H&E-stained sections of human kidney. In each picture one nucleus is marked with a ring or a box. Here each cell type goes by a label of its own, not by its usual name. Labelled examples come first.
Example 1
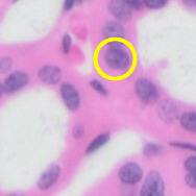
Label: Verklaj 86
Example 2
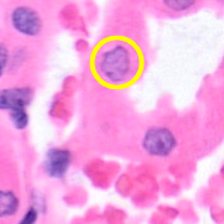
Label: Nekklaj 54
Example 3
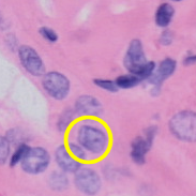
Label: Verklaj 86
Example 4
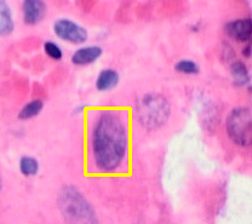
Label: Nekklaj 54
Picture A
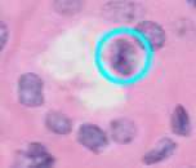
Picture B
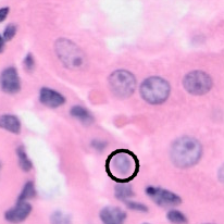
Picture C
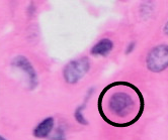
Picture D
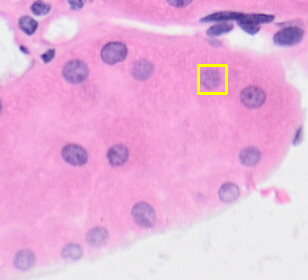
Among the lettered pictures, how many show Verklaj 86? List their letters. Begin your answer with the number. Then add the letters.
Count: 2 (A, B)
